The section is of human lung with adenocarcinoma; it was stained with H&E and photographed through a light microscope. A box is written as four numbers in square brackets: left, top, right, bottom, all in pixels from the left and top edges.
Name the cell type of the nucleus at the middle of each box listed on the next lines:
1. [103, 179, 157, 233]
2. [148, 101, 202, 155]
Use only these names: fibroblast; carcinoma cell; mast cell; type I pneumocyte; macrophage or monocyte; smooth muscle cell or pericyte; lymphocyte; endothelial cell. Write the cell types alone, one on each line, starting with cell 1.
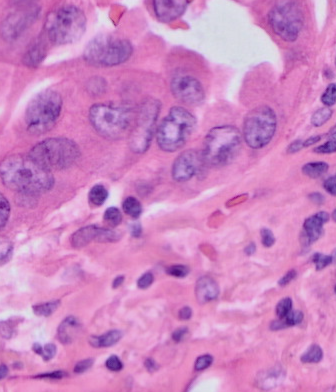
lymphocyte
carcinoma cell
